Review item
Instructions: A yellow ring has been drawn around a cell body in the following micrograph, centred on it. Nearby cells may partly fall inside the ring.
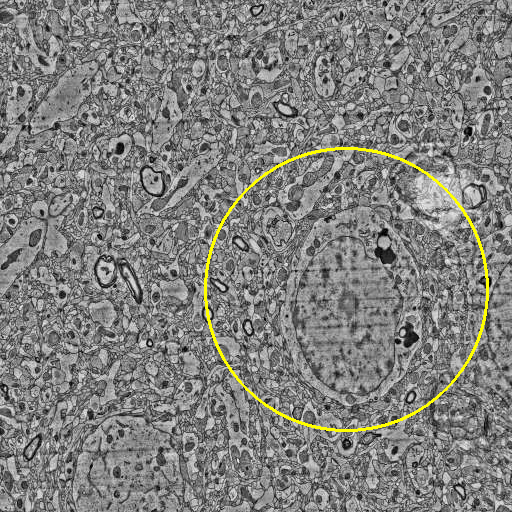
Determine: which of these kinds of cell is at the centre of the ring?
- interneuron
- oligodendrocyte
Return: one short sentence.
The cell body in the middle of the ring is that of an interneuron.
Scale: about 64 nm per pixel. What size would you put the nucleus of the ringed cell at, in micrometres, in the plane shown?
Roughly 10 by 7 micrometres in this plane, for the nucleus of the ringed cell.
